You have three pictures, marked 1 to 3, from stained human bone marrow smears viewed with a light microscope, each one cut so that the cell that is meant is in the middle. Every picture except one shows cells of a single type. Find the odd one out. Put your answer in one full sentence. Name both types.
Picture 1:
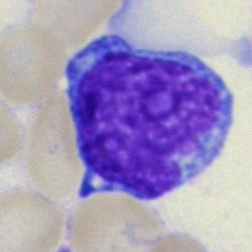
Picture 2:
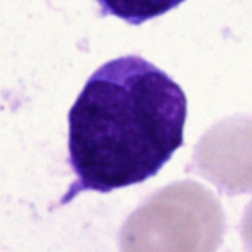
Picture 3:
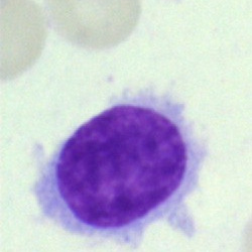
Unlike the rest, which show blasts, picture 3 shows a hairy cell.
